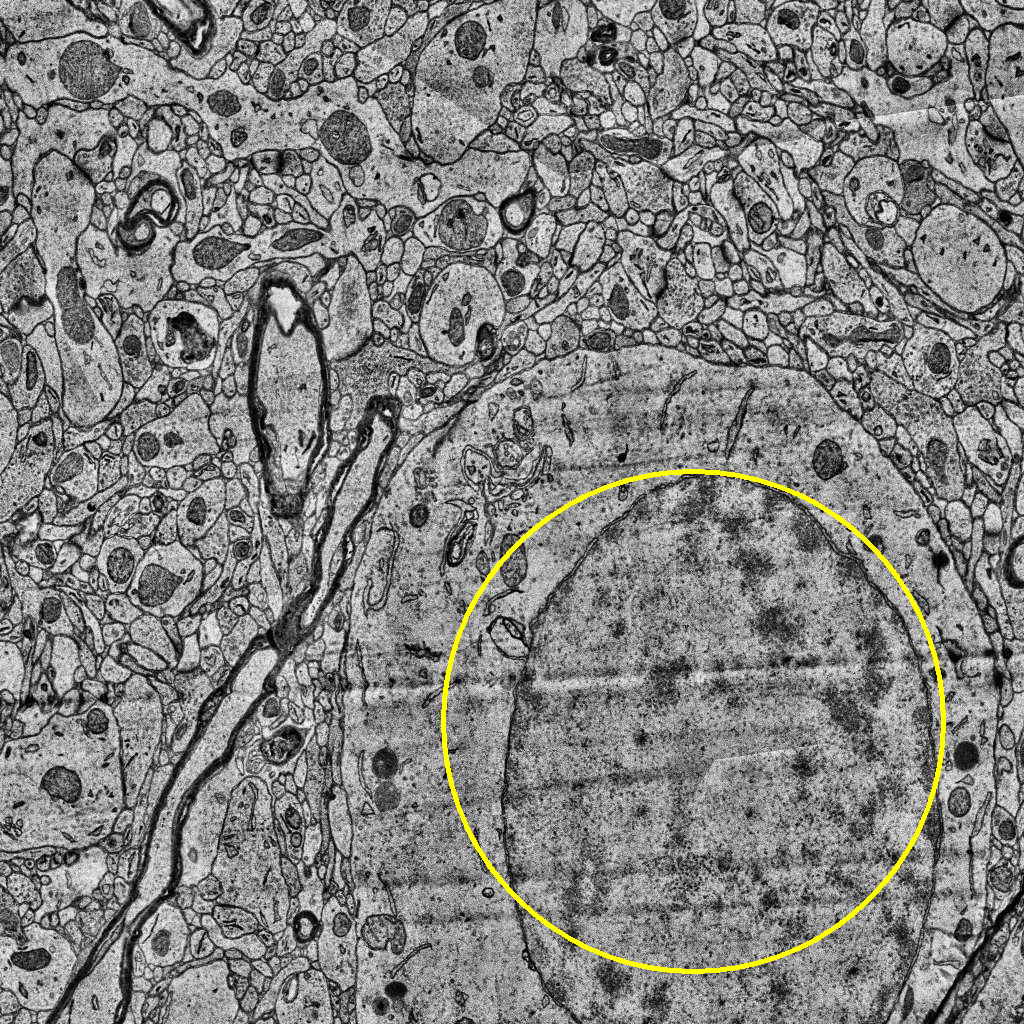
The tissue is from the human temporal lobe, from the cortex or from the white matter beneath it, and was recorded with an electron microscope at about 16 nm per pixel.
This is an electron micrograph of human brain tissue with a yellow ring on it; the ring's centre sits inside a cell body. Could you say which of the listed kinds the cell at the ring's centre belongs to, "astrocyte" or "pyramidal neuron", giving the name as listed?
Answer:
pyramidal neuron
